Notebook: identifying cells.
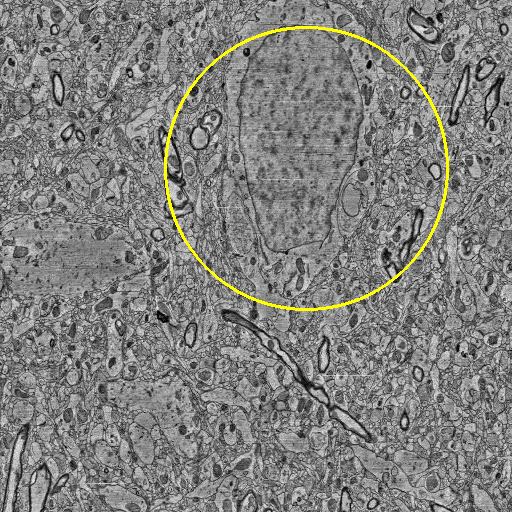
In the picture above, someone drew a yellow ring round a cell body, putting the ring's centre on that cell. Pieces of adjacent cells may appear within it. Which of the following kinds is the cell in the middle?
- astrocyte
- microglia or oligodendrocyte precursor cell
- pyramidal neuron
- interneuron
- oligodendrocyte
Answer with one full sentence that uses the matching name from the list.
In this picture, the yellow ring is centred on the body of an interneuron.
